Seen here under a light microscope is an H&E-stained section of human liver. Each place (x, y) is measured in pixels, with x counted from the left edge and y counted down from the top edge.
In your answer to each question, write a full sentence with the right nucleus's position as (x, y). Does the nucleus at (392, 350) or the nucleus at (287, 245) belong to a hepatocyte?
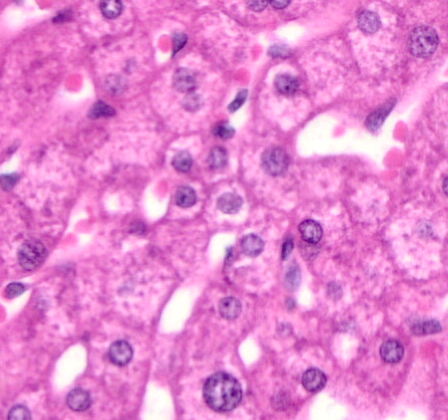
Of the two options, the nucleus at (392, 350) is the one that belongs to a hepatocyte.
